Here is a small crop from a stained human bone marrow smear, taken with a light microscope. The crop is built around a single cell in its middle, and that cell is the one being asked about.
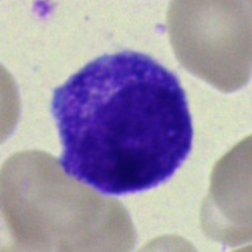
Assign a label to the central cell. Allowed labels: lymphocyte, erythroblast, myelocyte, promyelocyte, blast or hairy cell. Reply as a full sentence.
This crop's central cell is a myelocyte.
